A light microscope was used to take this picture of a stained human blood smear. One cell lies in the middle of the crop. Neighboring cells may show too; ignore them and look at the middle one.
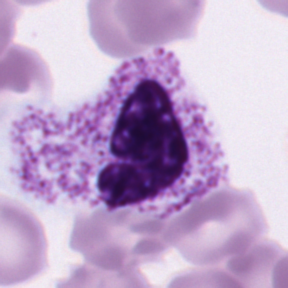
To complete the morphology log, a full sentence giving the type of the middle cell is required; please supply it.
The cell marked by its central position in the crop is a segmented neutrophil.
